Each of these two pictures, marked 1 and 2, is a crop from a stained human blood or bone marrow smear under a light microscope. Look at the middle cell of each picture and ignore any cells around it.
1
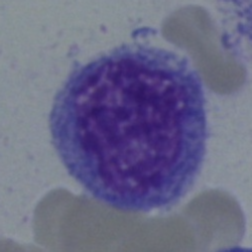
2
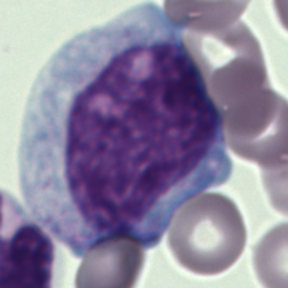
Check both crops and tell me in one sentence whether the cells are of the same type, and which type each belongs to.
No, crop 1 contains a blast; a promyelocyte is what crop 2 contains.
